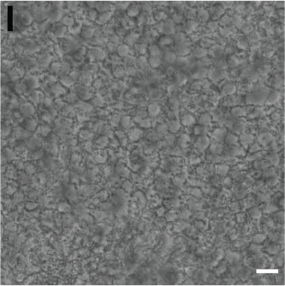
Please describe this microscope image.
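This phase contrast image shows a confluent sheet of cultured cells at higher magnification. The cells are small, rounded to polygonal and packed closely side by side, forming a cobblestone-like pattern. The cells are of fairly similar size across the field, with no gaps in the sheet.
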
